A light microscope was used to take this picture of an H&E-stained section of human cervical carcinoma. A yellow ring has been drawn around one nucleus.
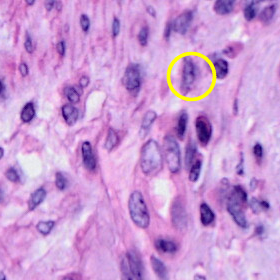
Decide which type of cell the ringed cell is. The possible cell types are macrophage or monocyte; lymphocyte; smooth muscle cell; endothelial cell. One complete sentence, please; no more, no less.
In this section, the ringed cell is a macrophage or monocyte.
